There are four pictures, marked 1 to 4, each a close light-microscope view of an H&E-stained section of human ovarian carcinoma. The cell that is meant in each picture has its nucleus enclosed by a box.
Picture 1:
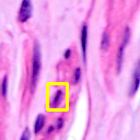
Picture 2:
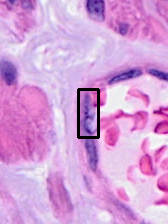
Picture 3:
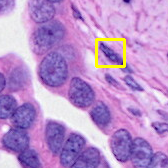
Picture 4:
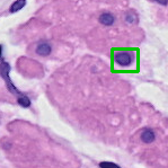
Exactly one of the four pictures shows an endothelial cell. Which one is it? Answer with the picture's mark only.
2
